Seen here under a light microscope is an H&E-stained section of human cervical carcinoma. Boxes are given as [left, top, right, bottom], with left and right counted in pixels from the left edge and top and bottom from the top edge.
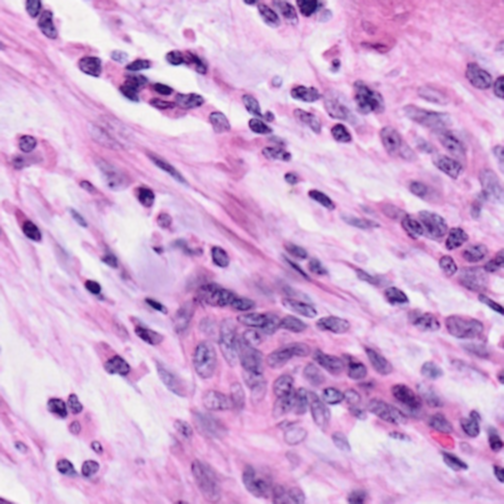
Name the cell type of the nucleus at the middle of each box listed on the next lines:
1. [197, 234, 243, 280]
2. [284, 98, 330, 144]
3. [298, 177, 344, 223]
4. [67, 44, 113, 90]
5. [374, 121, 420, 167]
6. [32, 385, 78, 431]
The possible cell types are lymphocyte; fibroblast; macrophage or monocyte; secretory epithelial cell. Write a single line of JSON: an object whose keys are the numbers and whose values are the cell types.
{"1": "lymphocyte", "2": "macrophage or monocyte", "3": "lymphocyte", "4": "lymphocyte", "5": "macrophage or monocyte", "6": "lymphocyte"}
